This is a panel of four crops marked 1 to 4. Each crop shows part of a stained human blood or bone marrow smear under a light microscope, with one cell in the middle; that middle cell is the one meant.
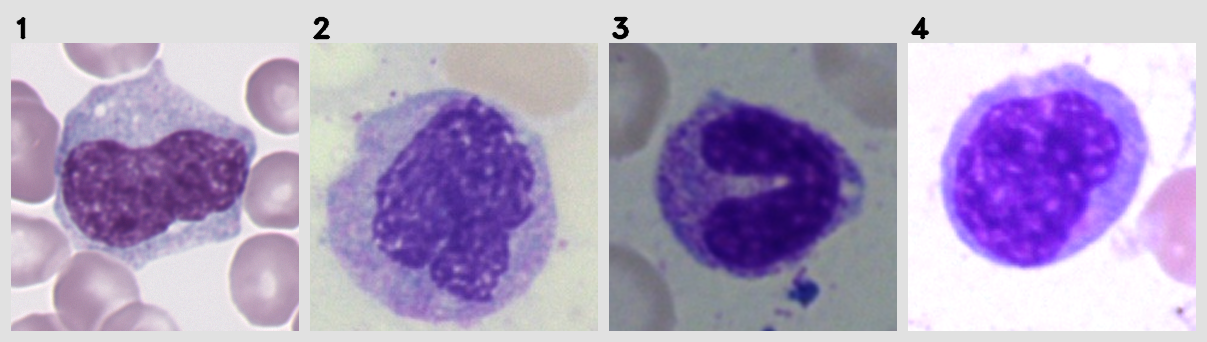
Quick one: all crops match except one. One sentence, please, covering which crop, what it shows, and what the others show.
All of the other crops show monocytes; crop 3, by contrast, is a band neutrophil.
